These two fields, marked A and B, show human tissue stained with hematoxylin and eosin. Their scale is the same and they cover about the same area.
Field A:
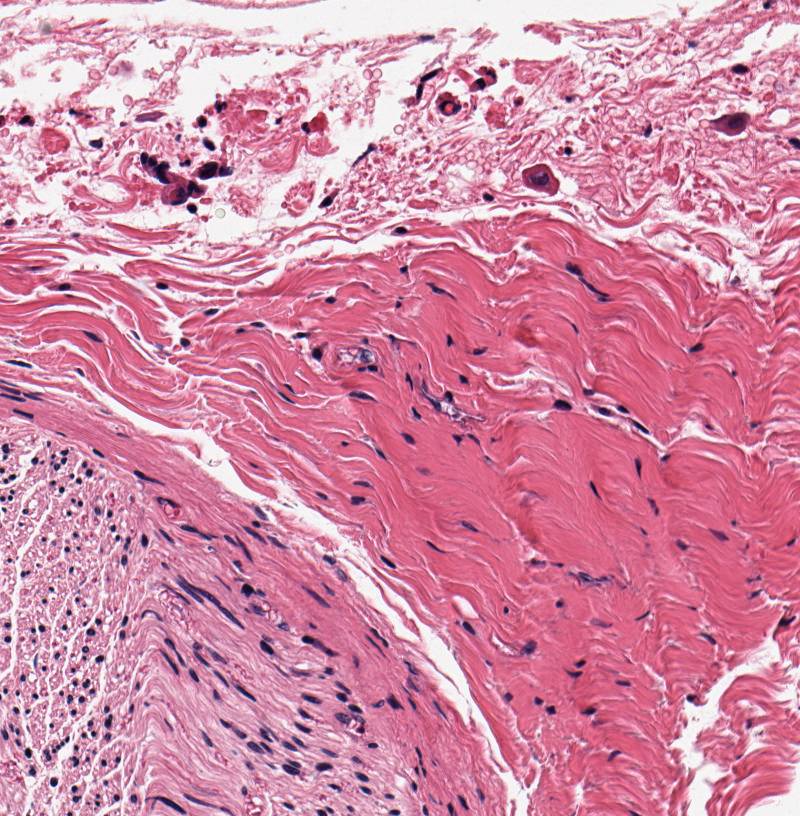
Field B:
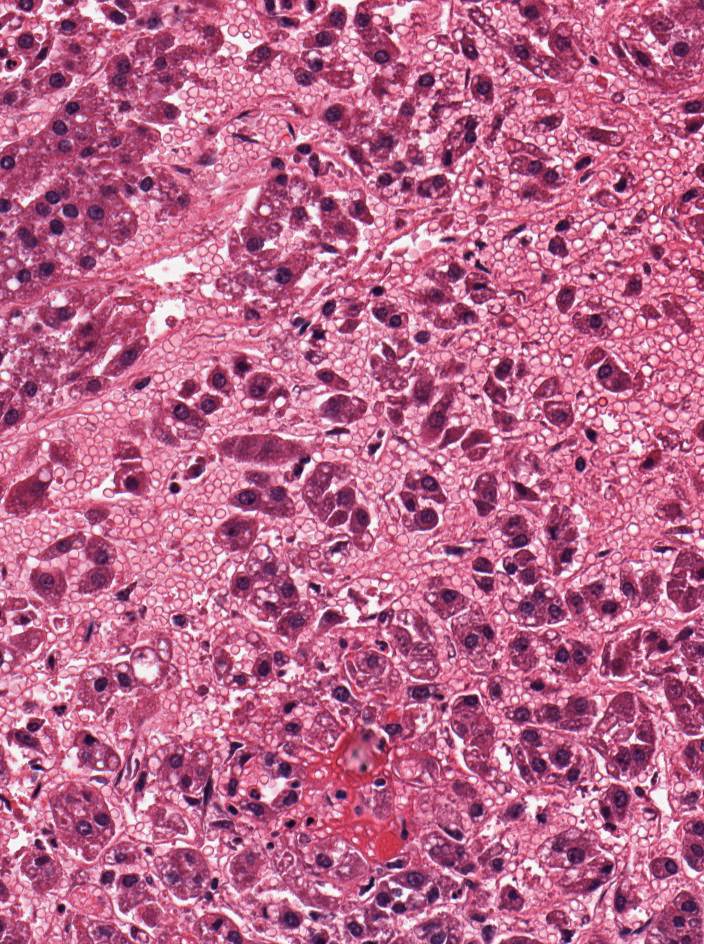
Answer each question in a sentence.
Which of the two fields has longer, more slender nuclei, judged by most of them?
On the whole the nuclei of field A are more drawn out than those of field B.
